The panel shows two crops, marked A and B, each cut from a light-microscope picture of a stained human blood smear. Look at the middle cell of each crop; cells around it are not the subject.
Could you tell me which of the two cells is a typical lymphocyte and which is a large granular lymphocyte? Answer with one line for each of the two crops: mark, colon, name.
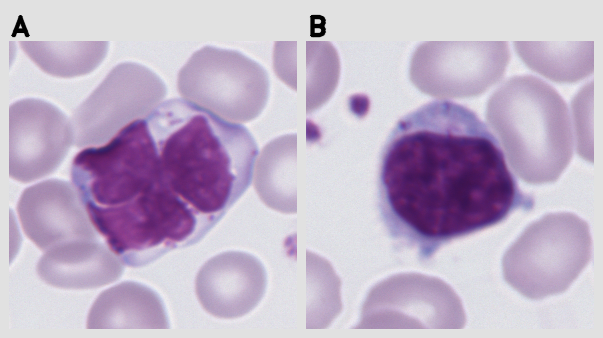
A: large granular lymphocyte
B: typical lymphocyte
